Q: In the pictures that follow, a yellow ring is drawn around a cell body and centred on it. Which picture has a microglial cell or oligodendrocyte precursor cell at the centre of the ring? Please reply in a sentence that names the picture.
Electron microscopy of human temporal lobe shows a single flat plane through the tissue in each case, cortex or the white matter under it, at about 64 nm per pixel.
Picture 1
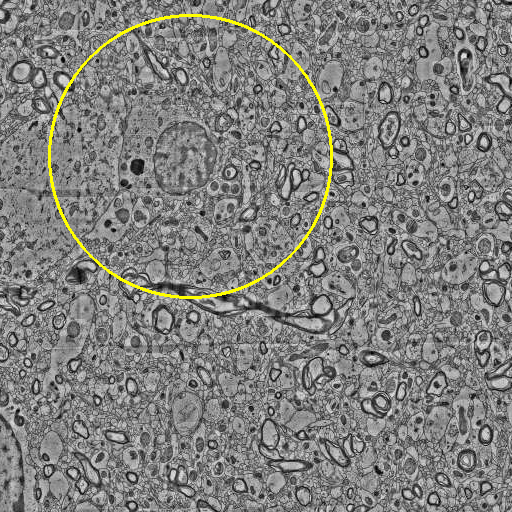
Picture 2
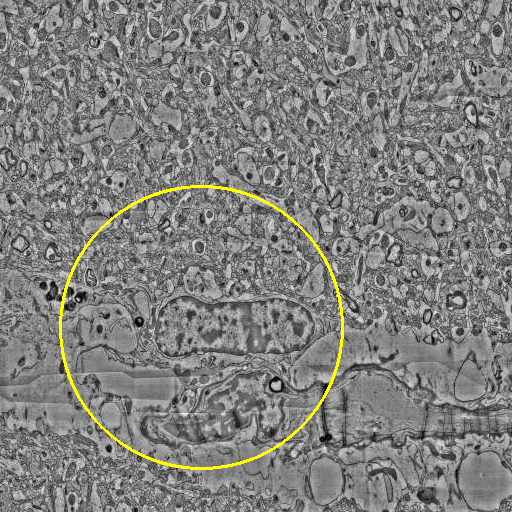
Picture 2 shows it at the centre of its ring.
